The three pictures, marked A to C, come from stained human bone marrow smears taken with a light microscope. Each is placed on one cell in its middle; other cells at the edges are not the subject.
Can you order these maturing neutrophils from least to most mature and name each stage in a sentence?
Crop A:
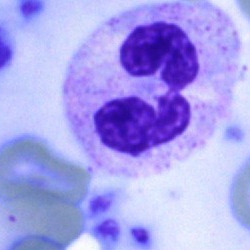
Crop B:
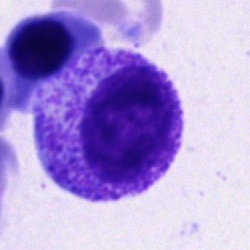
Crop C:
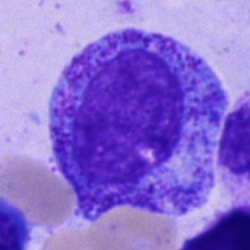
Placed in order from least to most mature, they run crop C (a promyelocyte), crop B (a myelocyte) and crop A (a segmented neutrophil).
